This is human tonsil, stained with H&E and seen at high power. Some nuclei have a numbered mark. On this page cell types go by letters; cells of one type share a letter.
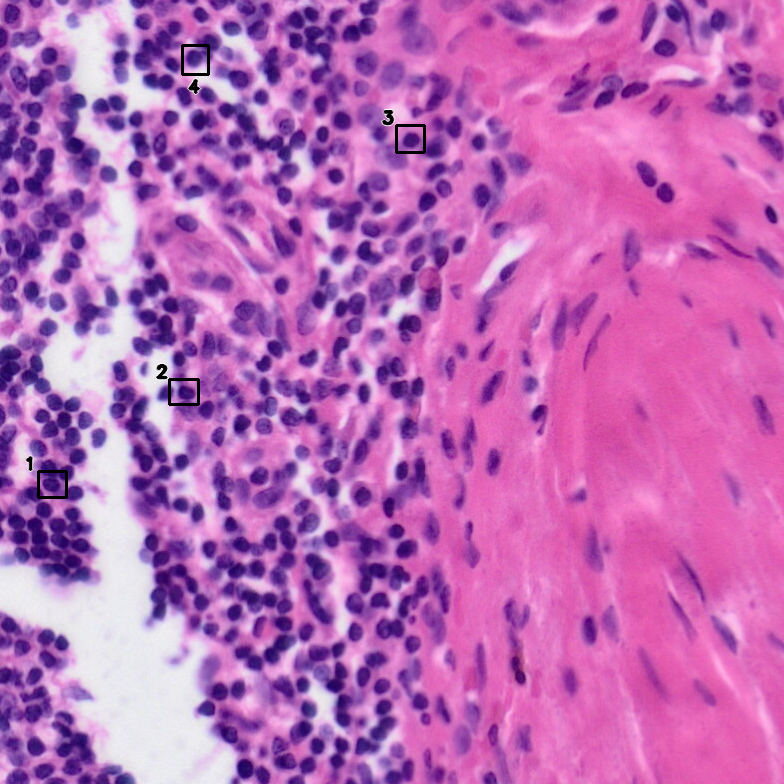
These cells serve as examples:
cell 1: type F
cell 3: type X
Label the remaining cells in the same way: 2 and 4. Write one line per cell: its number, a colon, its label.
2: type F
4: type F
